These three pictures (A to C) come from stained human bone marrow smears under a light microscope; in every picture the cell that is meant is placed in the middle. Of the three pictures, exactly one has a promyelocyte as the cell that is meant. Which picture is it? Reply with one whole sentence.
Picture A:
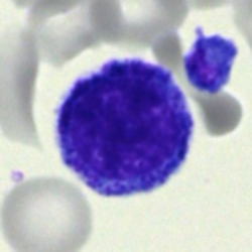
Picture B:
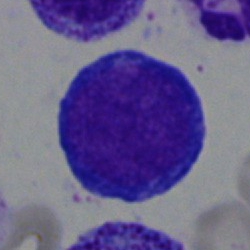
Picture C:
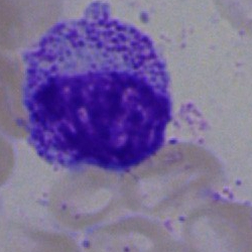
Picture A is the one that shows the promyelocyte.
